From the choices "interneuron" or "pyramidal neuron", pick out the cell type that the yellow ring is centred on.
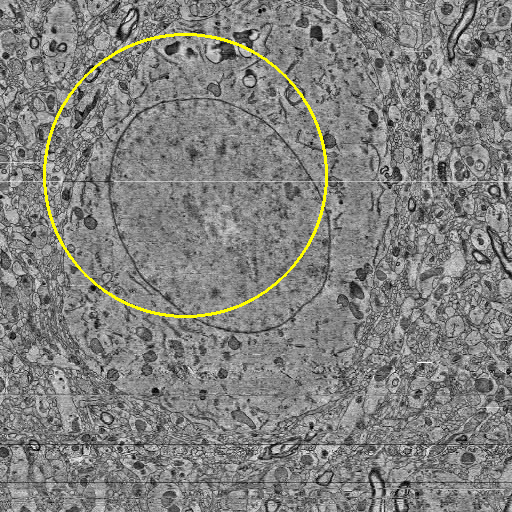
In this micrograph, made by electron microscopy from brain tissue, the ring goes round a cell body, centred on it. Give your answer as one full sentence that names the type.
The yellow ring is centred on a pyramidal neuron, whose cell body it encircles in the picture.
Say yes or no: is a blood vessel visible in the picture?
No, none shows.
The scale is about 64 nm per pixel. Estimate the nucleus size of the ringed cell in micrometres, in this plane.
The nucleus has a long axis of about 17 micrometres and a short axis of about 13 micrometres in this plane.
